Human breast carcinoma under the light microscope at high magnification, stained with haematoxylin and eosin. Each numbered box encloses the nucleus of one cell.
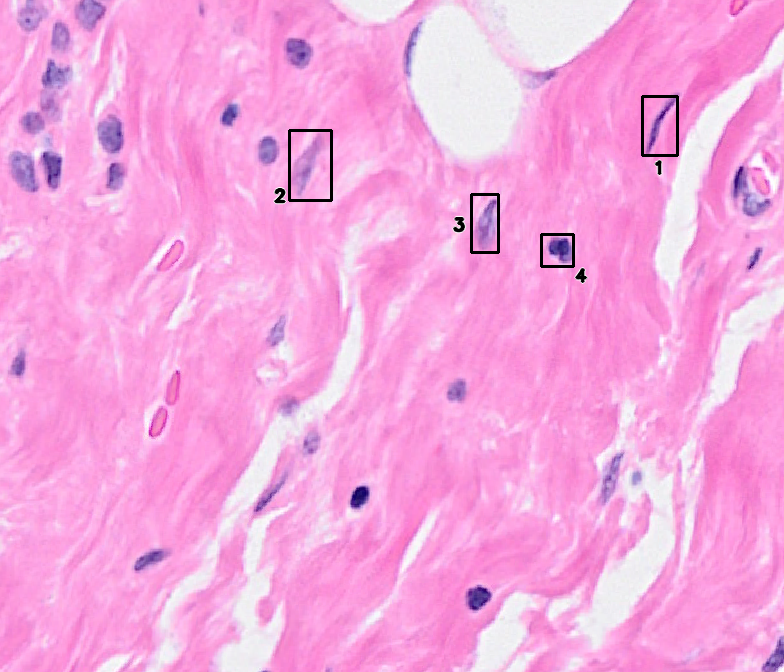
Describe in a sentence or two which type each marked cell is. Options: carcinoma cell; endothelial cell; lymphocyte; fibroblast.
Cells 1, 2 and 3 are fibroblasts. Cell 4 is a lymphocyte.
